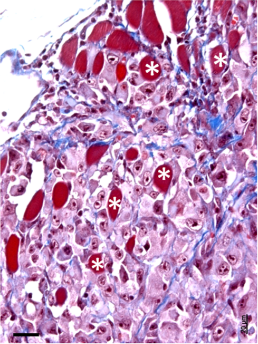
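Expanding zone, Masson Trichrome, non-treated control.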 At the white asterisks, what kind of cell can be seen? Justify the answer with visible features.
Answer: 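Skeletal muscle cells. The marked structures are large, homogeneous, deep red fibers without internal nuclei. They are cut in cross section and surrounded by smaller pale tumor cells.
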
